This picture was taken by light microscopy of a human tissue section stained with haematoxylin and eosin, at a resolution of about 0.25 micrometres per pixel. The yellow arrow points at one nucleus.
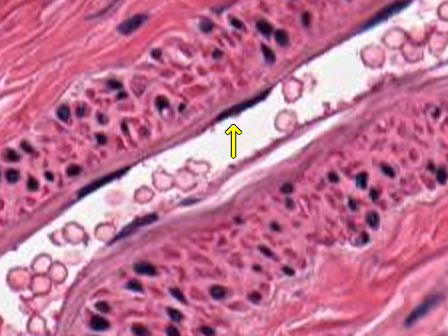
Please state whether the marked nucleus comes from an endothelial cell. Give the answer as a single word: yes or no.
yes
